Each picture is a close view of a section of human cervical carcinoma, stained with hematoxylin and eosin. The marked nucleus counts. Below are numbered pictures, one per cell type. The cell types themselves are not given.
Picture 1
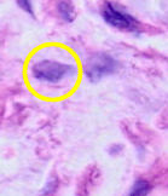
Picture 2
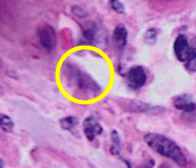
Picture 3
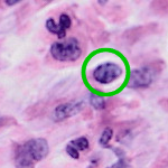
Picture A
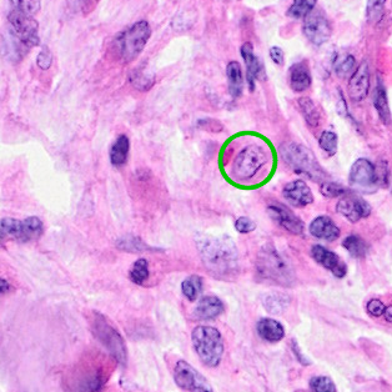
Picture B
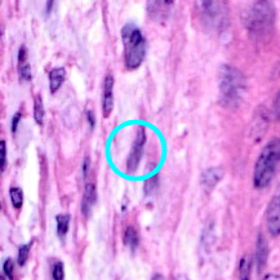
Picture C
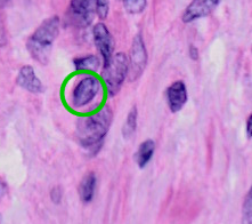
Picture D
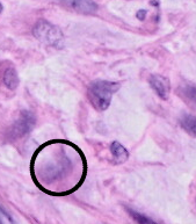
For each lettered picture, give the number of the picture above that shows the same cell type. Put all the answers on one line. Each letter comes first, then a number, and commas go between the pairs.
A 2, B 1, C 2, D 1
